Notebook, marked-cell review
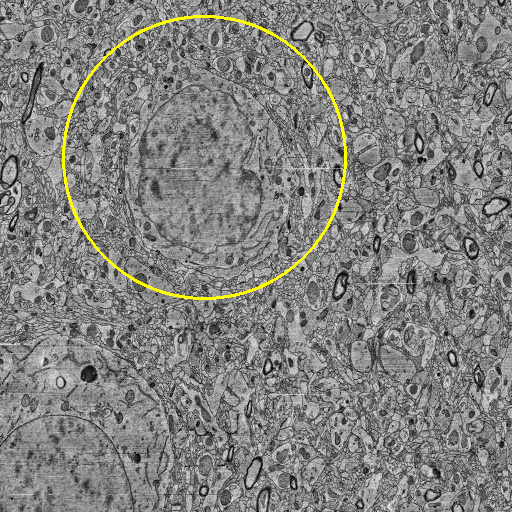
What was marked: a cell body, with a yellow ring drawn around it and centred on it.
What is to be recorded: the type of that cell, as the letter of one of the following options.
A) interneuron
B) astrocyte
A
